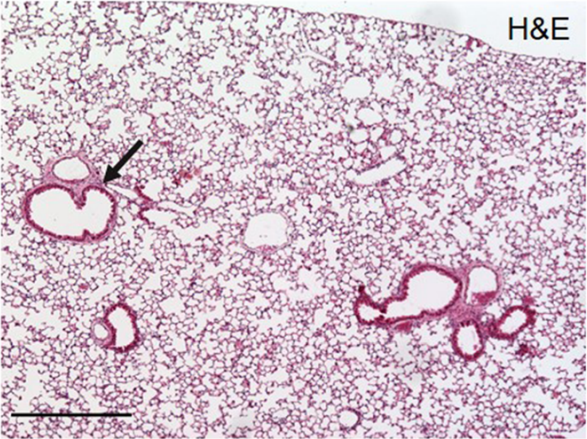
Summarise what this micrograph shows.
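Scattered through it lie airways lined by a dark purple epithelium, each accompanied by a neighbouring round vessel lumen, the two wrapped together in a cuff of pale pink connective tissue. The alveolar walls are thin and evenly spaced, with few nuclei and little crowding.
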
